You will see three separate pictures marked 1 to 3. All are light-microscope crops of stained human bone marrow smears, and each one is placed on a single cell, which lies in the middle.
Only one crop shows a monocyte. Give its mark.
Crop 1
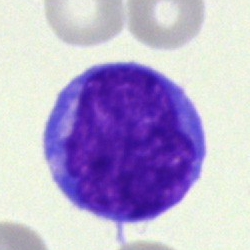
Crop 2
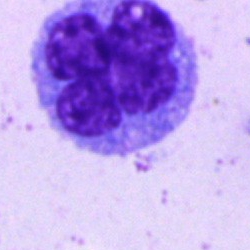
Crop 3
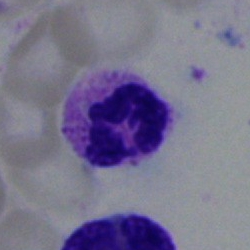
2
